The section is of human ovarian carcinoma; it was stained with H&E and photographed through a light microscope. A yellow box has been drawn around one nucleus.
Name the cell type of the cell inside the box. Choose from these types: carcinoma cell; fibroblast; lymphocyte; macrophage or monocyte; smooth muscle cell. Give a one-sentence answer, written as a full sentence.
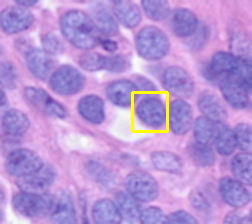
In this section, the cell inside the box is a carcinoma cell.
